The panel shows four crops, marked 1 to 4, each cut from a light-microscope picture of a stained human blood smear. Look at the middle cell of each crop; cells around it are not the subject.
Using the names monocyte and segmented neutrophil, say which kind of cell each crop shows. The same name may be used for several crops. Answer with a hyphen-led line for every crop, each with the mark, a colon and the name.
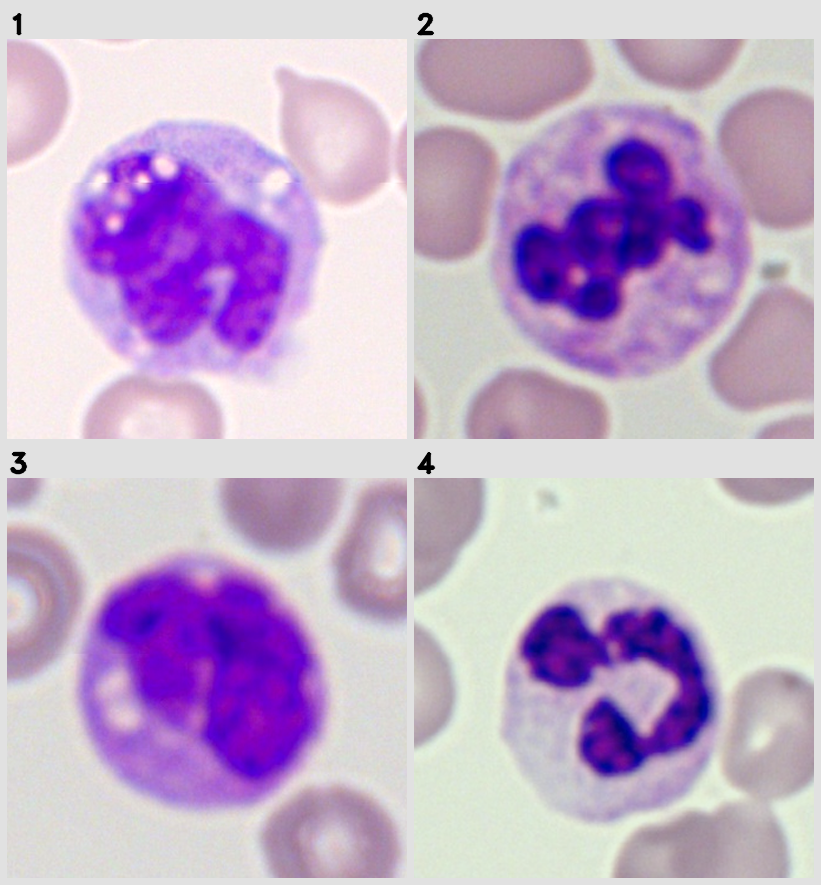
- 1: monocyte
- 2: segmented neutrophil
- 3: monocyte
- 4: segmented neutrophil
